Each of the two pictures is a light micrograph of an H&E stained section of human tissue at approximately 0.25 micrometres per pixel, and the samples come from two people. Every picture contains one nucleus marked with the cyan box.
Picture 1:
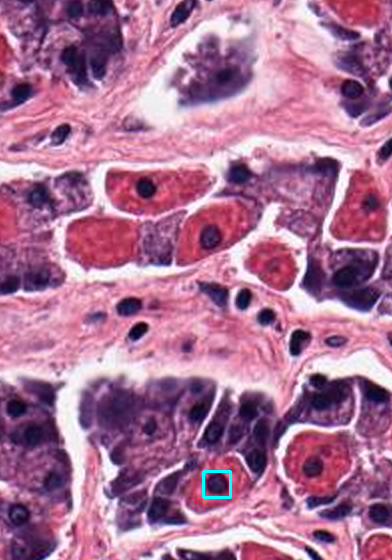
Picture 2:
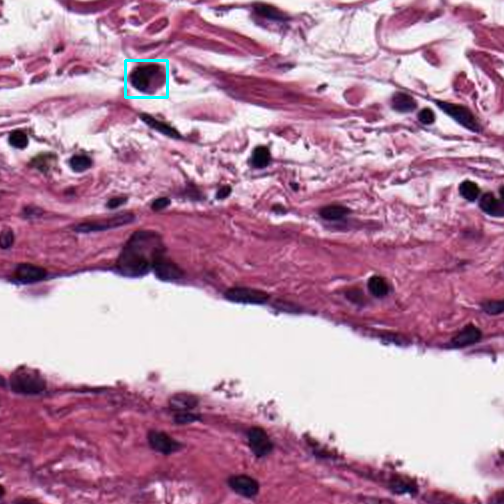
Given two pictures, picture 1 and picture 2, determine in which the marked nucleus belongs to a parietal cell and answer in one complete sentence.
Picture 1, not the other picture, contains a marked nucleus belonging to a parietal cell.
